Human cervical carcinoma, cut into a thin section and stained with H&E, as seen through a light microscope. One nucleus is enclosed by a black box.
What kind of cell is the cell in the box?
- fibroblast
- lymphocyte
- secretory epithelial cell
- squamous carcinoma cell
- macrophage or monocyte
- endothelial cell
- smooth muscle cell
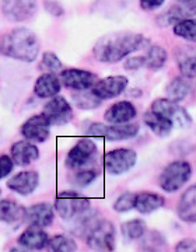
lymphocyte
